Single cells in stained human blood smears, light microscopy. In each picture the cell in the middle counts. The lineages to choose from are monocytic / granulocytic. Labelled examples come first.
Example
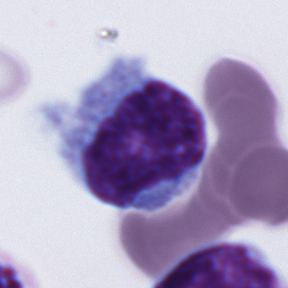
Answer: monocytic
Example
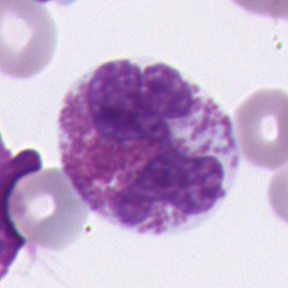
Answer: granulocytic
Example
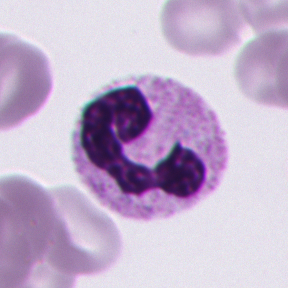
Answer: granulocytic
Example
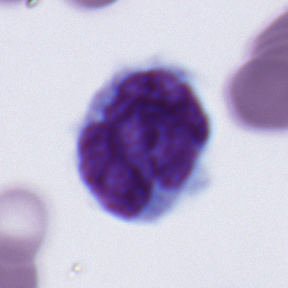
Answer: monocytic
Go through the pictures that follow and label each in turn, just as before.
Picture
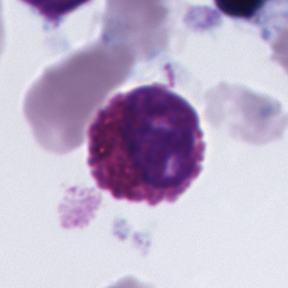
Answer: granulocytic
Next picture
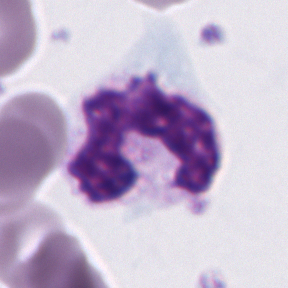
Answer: granulocytic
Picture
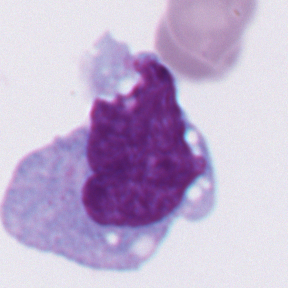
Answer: monocytic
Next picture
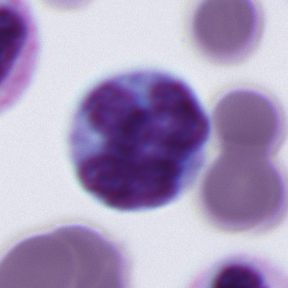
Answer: monocytic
